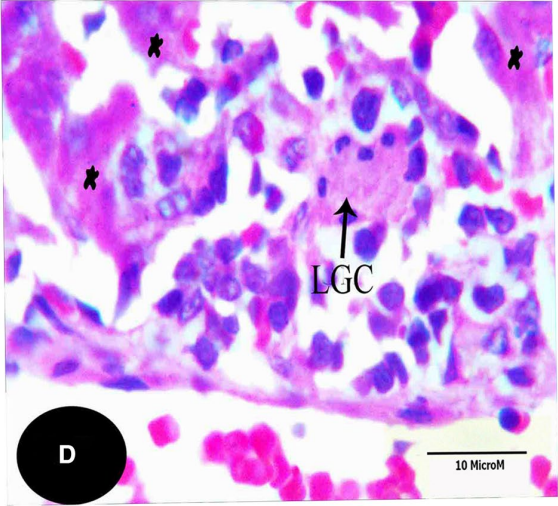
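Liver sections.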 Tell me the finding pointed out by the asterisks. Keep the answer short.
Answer: coagulative necrosis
